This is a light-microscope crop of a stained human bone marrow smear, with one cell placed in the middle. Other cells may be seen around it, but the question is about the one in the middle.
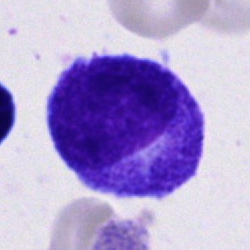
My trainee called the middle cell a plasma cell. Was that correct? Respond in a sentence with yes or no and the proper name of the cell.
No; rather than a plasma cell, the cell at the center is a promyelocyte.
